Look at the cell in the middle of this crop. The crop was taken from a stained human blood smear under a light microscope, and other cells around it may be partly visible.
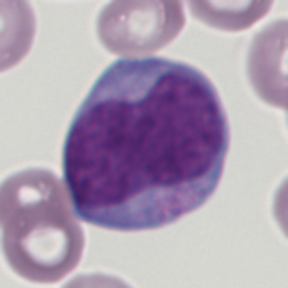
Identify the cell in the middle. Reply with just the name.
atypical promyelocyte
